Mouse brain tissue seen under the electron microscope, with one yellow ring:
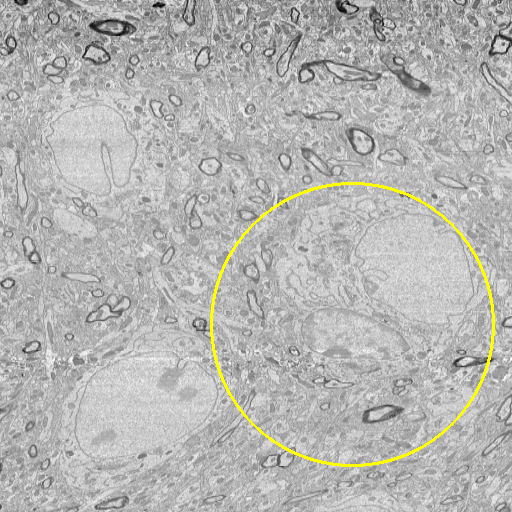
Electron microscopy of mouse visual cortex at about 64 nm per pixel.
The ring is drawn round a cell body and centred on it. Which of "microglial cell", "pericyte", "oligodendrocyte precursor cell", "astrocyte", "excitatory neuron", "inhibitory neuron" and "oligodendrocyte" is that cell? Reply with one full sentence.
The picture shows an oligodendrocyte at the very centre of the yellow ring.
